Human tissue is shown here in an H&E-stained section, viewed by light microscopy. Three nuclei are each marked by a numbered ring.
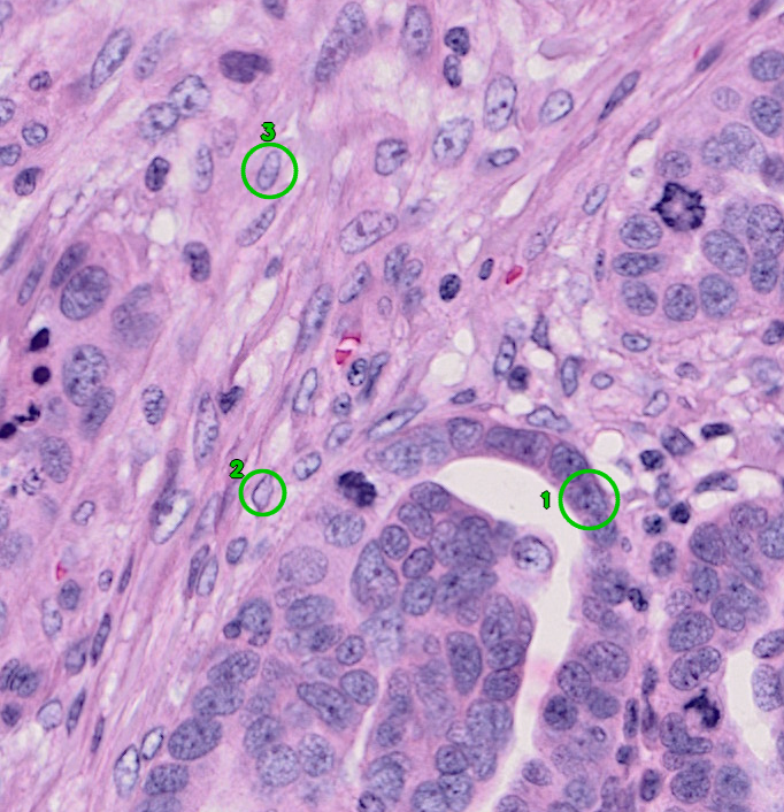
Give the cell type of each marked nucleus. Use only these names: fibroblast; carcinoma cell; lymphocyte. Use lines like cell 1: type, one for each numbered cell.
cell 1: carcinoma cell
cell 2: fibroblast
cell 3: fibroblast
